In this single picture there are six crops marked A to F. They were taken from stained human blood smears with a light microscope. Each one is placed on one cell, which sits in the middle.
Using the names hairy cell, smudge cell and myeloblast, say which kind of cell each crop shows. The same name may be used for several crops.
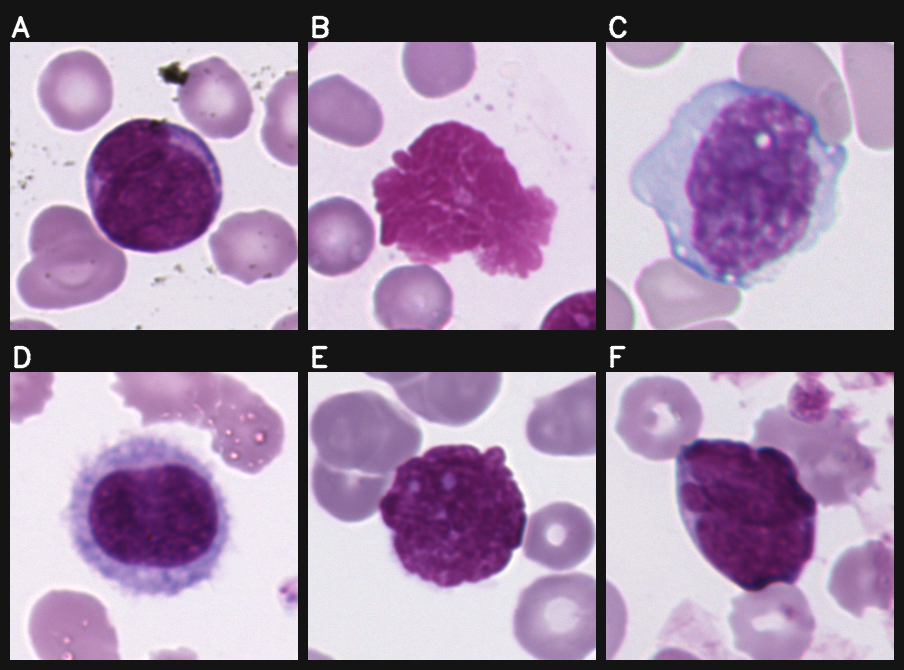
A: myeloblast
B: smudge cell
C: myeloblast
D: hairy cell
E: smudge cell
F: myeloblast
